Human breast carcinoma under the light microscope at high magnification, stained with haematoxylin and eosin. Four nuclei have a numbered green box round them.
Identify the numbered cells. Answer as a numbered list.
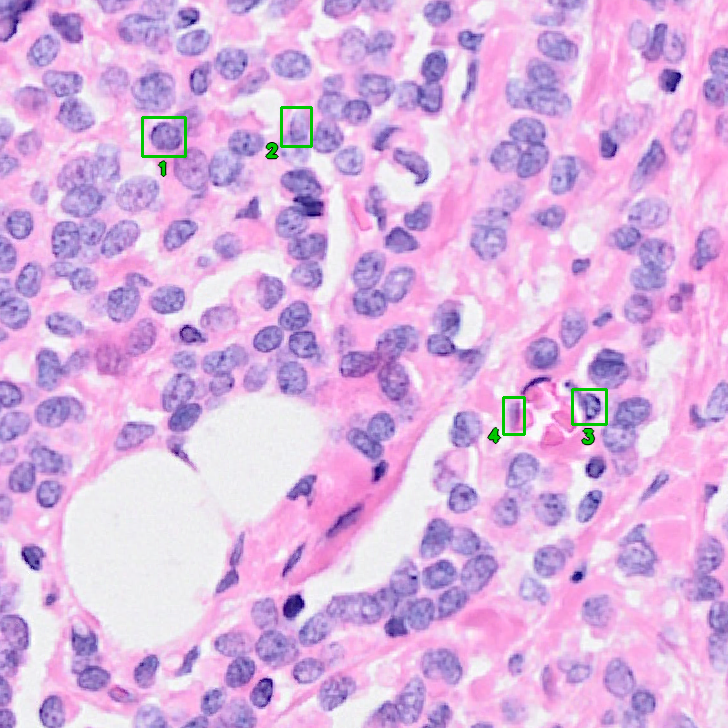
1. carcinoma cell
2. carcinoma cell
3. endothelial cell
4. endothelial cell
